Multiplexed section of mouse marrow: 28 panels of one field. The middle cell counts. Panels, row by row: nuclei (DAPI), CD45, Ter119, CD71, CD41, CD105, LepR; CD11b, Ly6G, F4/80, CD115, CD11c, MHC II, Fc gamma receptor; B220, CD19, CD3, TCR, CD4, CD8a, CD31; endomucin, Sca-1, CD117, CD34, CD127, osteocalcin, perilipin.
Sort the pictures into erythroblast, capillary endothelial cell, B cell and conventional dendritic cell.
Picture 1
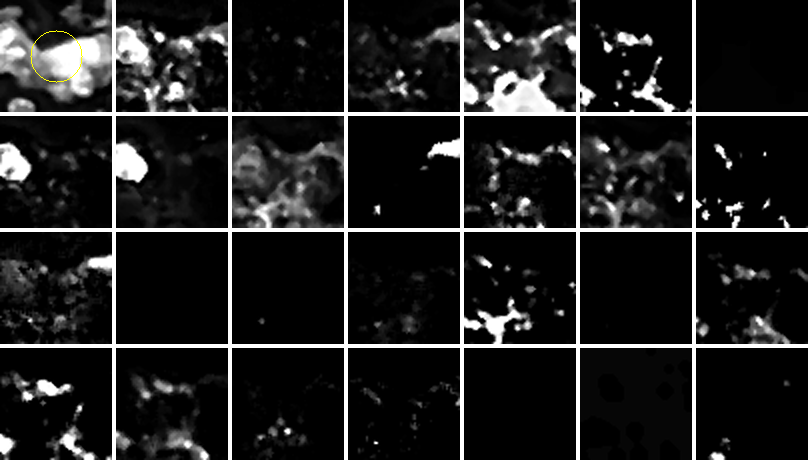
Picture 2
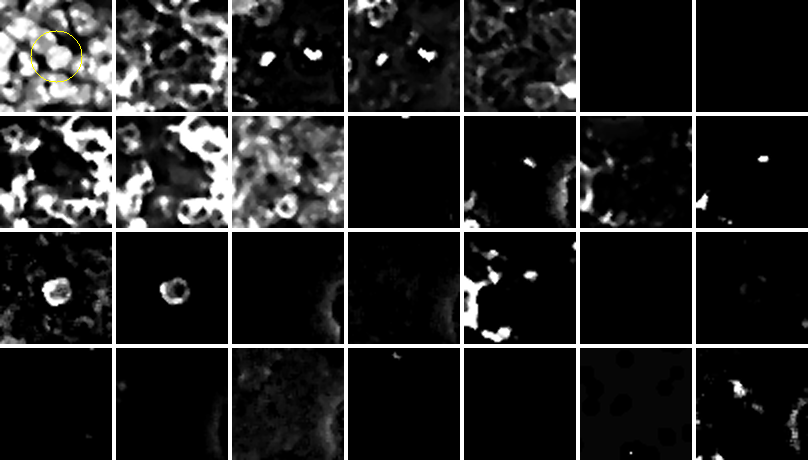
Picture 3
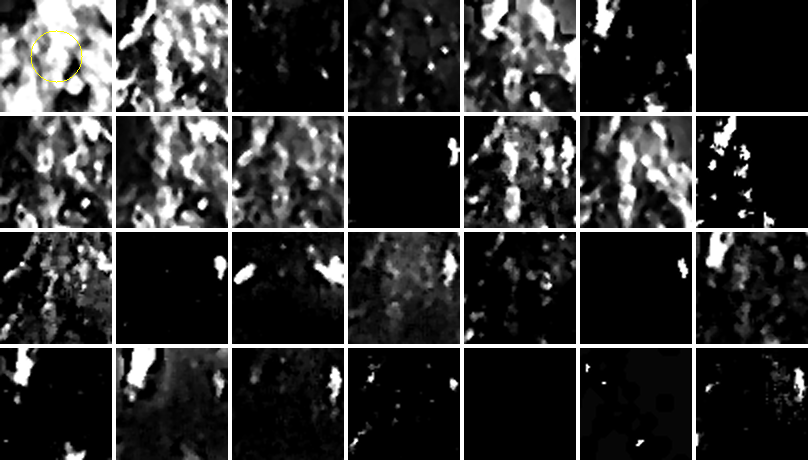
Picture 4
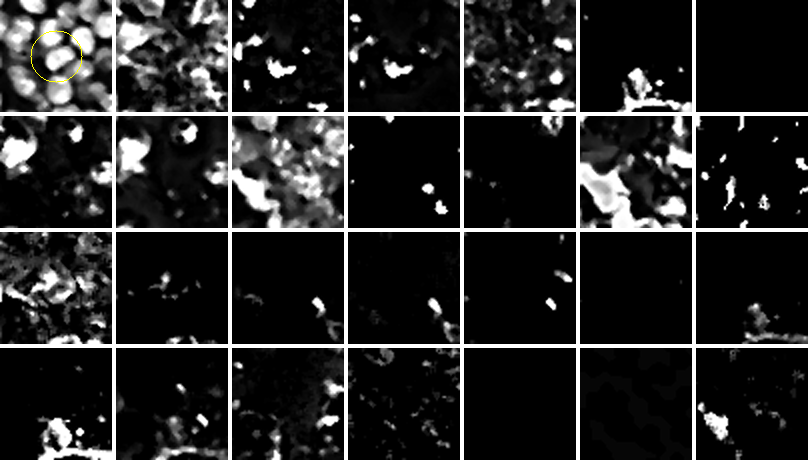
Capillary endothelial cells: 1
B cells: 2
Conventional dendritic cells: 3
Erythroblasts: 4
